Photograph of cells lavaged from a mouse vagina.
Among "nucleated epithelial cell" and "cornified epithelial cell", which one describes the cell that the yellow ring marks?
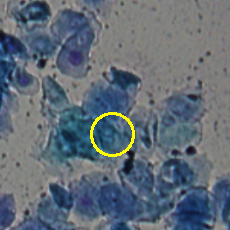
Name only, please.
cornified epithelial cell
